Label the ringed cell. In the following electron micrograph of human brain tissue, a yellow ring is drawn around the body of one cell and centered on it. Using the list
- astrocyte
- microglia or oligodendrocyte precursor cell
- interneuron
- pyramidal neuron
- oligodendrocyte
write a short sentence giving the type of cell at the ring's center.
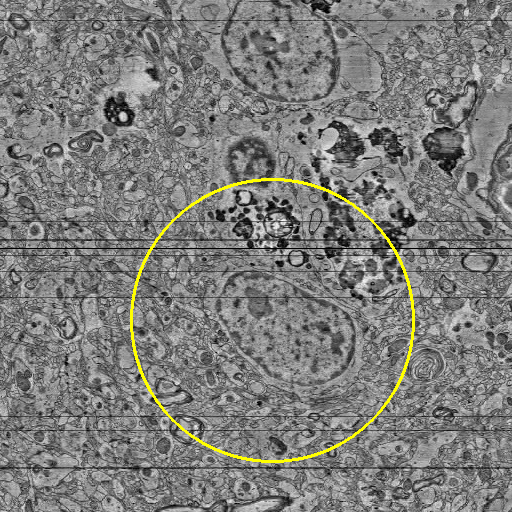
The cell body at the ring's center is that of an astrocyte.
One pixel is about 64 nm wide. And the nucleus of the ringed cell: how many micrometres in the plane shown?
At approximately 9 by 6 micrometres, the nucleus is clearly longer than it is wide in this plane.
